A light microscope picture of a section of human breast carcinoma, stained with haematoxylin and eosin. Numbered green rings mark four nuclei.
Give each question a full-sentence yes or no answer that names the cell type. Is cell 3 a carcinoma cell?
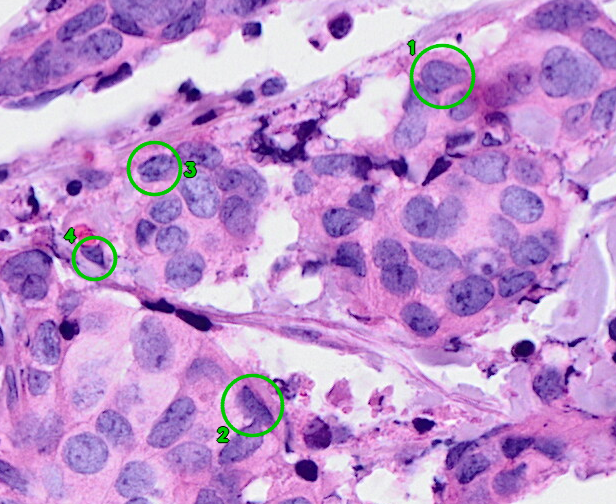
Yes, cell 3 among the marked cells is a carcinoma cell.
